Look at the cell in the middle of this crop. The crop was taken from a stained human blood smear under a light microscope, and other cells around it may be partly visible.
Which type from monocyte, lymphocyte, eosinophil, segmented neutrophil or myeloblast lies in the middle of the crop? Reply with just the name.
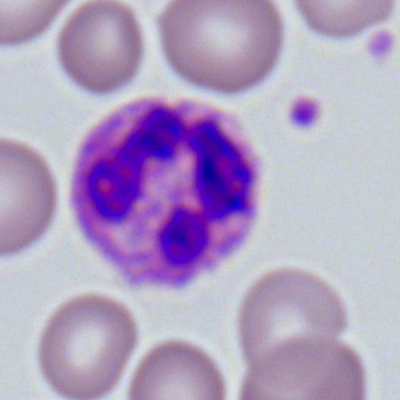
segmented neutrophil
